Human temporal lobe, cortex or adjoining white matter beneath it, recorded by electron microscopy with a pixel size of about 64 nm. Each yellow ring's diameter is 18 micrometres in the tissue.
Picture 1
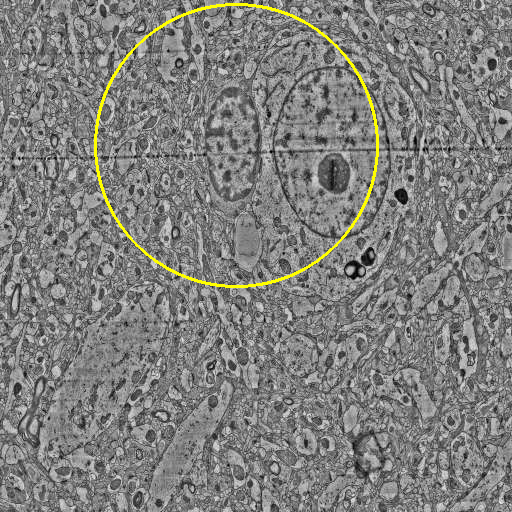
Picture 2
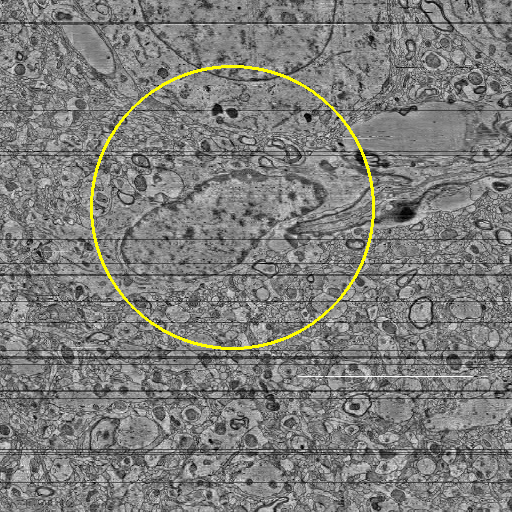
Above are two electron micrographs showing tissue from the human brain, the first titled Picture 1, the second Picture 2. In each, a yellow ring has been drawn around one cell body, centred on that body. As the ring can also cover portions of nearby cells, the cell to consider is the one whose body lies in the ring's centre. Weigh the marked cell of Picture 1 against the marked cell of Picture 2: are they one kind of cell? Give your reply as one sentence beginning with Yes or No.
No, the two cells sitting at the ring centres in the pictures are of two kinds.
